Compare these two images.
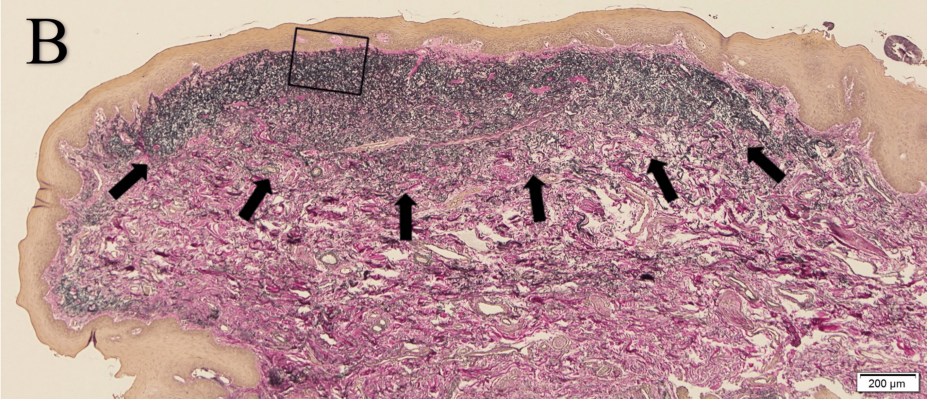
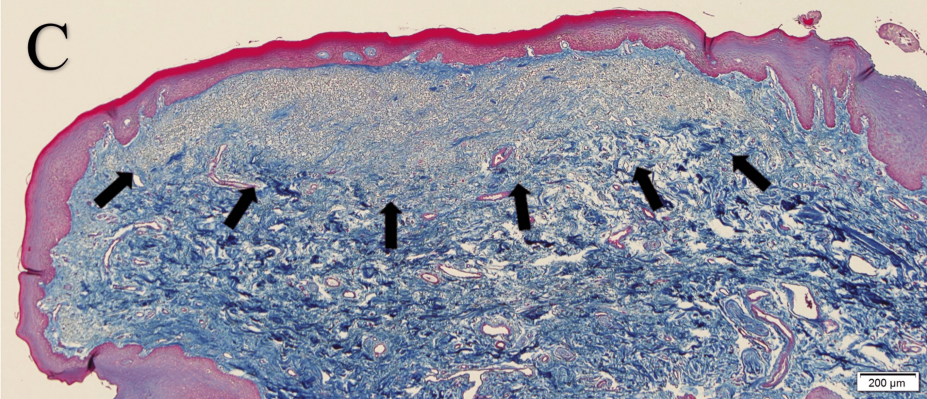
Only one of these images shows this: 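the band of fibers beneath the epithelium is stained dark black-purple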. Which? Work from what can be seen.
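The first image. Second image: the band beneath the epithelium is pale greyish and finely fibrillar, not dark blue, while the deeper tissue is blue. First image: the band beneath the epithelium is densely black-purple.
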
